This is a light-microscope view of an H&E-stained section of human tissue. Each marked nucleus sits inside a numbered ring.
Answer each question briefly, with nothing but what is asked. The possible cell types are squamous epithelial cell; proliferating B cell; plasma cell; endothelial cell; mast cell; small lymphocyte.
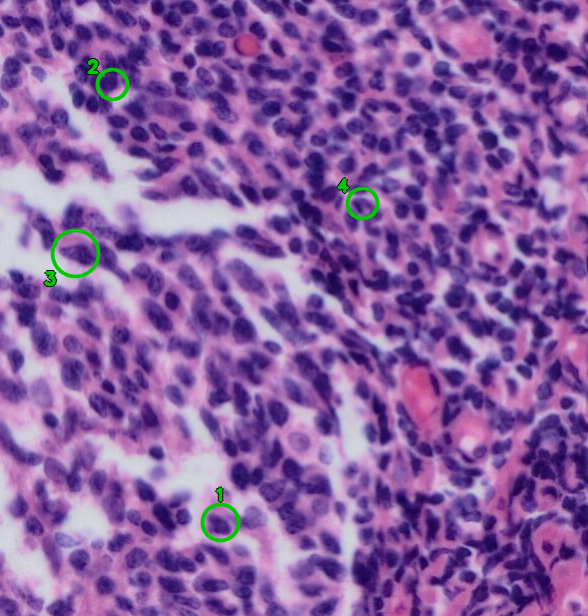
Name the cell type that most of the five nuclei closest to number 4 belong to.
small lymphocyte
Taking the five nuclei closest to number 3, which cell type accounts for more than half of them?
proliferating B cell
